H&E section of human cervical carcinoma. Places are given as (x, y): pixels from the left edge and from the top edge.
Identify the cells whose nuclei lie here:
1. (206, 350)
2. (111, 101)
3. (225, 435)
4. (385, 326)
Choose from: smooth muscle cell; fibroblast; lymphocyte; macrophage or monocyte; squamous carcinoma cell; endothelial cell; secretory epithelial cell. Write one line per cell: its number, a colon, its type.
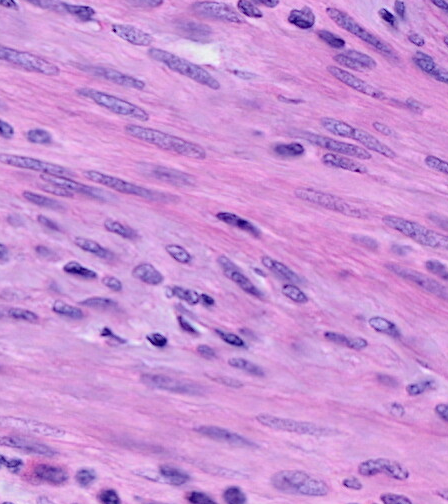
1: smooth muscle cell
2: smooth muscle cell
3: fibroblast
4: smooth muscle cell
